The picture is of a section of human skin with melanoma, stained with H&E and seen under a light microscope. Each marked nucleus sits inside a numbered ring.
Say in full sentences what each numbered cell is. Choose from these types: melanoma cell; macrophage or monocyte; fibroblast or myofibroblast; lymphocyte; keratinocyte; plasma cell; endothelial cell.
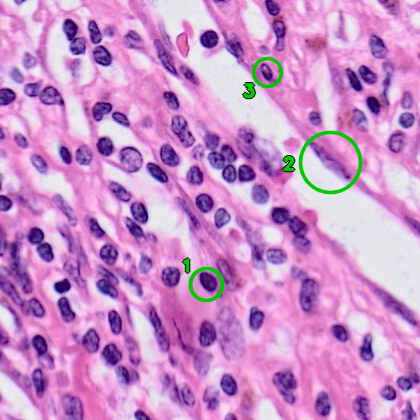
Cell 1 is a lymphocyte. Cell 2 is an endothelial cell. Cell 3 is a macrophage or monocyte.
